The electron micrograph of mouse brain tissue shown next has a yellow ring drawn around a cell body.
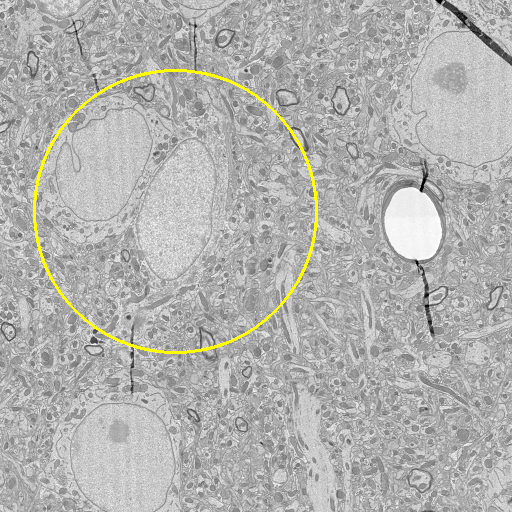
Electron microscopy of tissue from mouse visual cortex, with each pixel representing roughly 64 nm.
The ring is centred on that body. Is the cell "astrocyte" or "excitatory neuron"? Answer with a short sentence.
The cell in question is an astrocyte.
